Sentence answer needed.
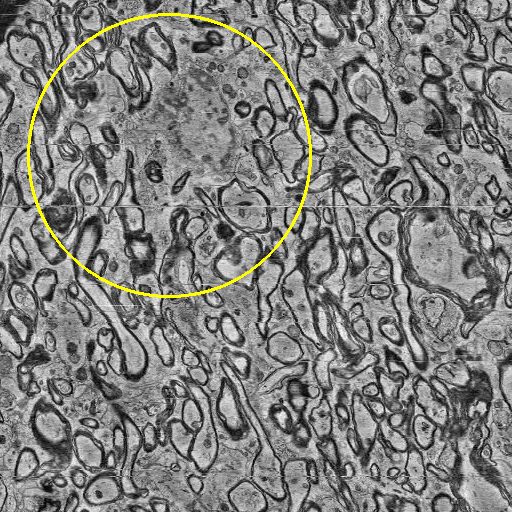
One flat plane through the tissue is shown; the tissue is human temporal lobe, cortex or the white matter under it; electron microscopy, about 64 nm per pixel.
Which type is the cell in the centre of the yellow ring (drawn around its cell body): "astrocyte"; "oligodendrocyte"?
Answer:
In the centre of the yellow ring is an astrocyte.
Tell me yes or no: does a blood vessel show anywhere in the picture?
No, there is none.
